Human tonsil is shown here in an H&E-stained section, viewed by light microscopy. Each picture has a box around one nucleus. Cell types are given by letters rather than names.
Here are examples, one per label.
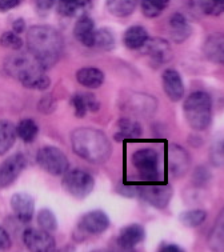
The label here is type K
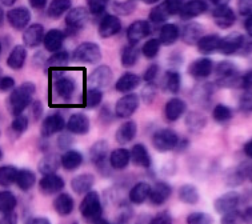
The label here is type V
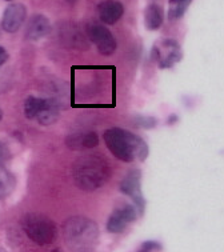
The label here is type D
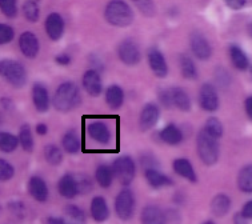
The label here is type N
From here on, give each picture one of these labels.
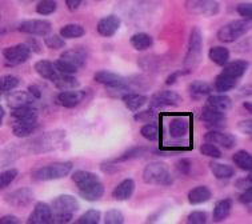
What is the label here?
type V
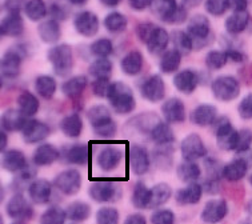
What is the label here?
type V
